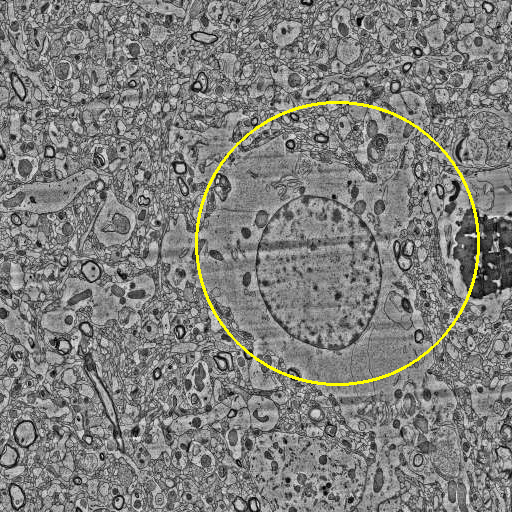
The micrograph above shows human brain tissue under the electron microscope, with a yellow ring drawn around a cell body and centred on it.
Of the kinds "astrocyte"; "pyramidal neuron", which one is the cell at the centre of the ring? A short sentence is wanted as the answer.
The one at the centre of the ring is an astrocyte.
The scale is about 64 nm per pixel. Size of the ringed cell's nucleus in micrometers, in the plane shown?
In this plane the nucleus is about 10 micrometres by 8.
